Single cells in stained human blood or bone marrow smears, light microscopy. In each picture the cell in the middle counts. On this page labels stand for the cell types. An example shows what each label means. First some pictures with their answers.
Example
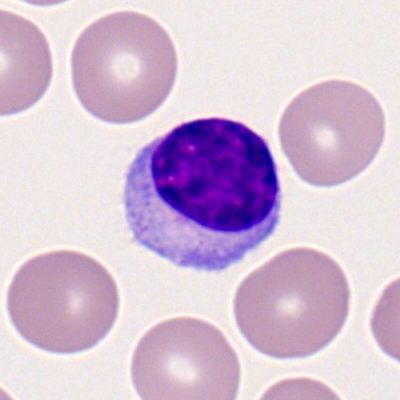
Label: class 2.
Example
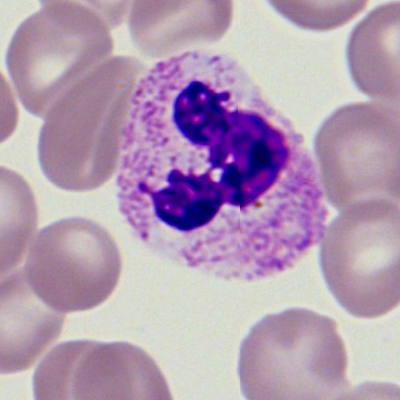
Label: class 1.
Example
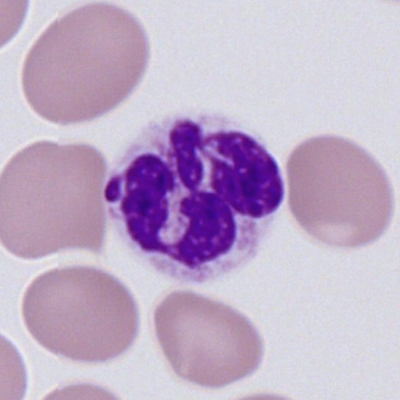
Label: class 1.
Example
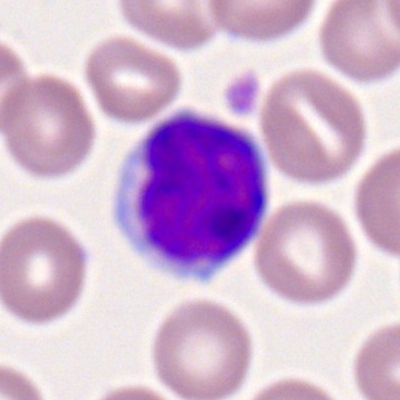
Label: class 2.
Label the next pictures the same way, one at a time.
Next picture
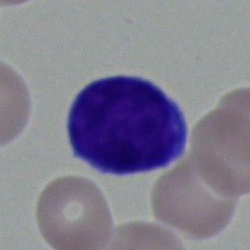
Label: class 2.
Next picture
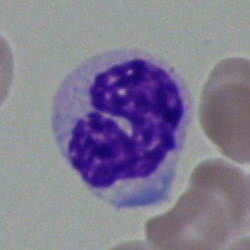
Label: class 1.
